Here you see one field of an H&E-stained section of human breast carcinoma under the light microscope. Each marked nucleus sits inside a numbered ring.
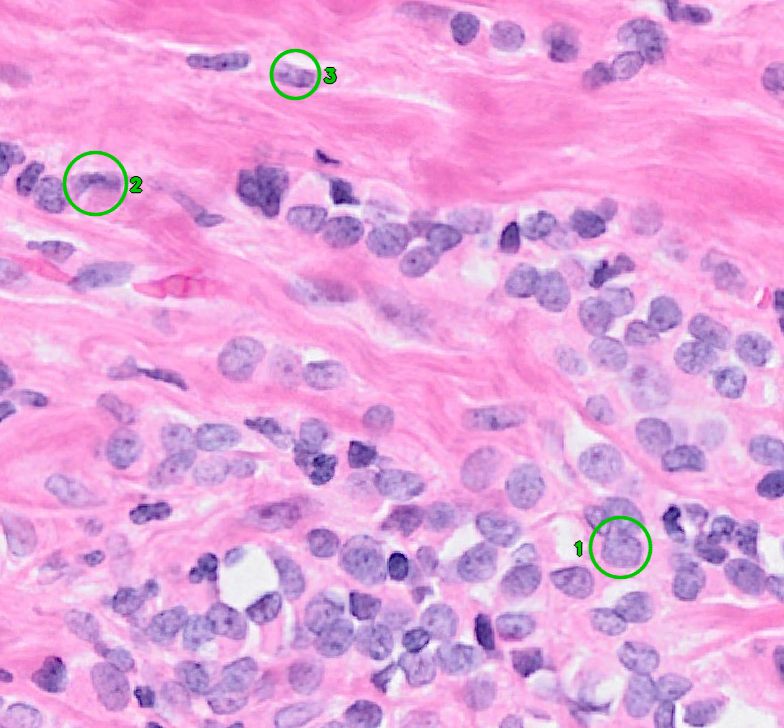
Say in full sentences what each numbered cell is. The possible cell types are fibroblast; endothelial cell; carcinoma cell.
Cell 1 is a carcinoma cell, cell 2 is a fibroblast and cell 3 is a fibroblast.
